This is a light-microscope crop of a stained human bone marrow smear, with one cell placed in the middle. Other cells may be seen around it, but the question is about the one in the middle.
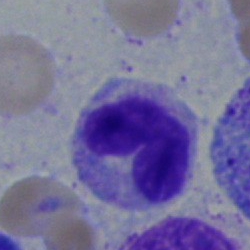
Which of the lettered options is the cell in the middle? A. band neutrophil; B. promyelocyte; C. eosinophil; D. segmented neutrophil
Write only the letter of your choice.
A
